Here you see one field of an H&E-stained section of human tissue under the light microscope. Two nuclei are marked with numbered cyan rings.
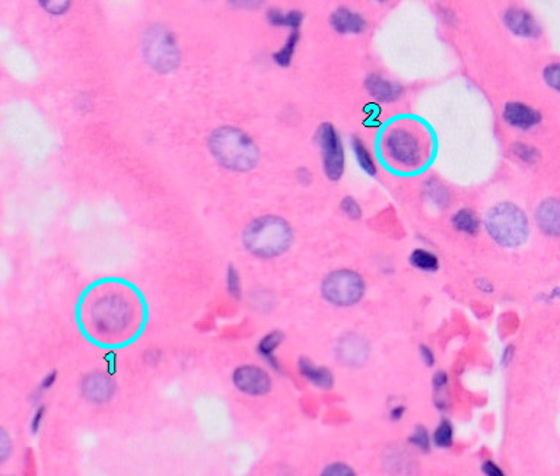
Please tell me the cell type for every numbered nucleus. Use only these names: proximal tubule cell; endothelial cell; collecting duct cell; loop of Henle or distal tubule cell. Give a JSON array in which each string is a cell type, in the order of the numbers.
["proximal tubule cell", "loop of Henle or distal tubule cell"]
